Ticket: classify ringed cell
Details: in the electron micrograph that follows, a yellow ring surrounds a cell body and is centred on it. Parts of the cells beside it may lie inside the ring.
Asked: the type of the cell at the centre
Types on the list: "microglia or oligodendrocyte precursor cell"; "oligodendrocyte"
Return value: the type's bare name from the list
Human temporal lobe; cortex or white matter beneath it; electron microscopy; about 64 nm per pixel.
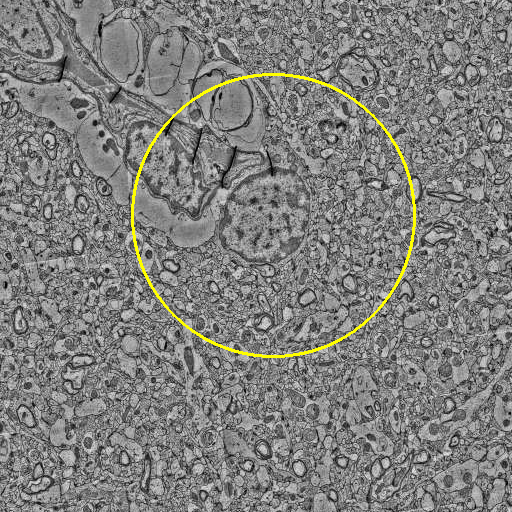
oligodendrocyte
